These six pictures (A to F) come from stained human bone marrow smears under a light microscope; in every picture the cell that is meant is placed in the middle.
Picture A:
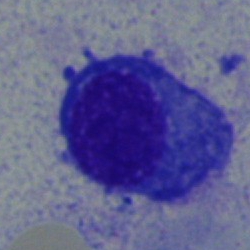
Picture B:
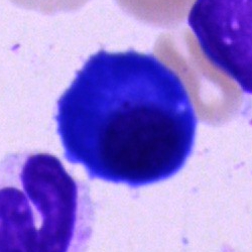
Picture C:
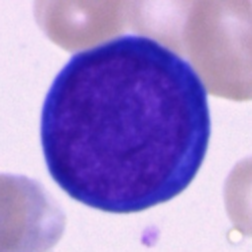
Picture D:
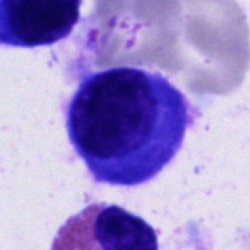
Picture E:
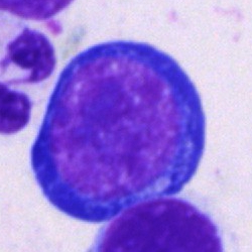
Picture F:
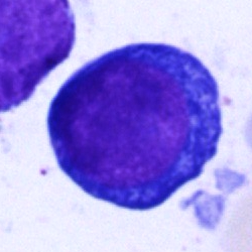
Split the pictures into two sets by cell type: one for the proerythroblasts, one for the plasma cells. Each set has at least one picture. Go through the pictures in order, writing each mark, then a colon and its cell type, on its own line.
A: plasma cell
B: plasma cell
C: proerythroblast
D: plasma cell
E: proerythroblast
F: proerythroblast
